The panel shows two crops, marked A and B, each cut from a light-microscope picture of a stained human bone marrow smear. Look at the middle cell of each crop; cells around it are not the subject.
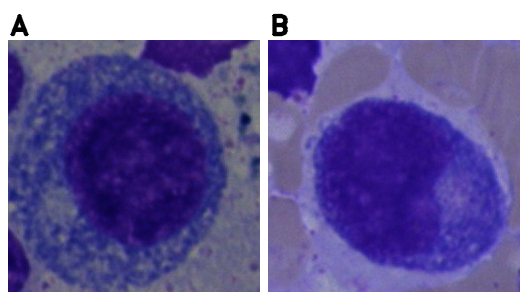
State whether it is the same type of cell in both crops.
yes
